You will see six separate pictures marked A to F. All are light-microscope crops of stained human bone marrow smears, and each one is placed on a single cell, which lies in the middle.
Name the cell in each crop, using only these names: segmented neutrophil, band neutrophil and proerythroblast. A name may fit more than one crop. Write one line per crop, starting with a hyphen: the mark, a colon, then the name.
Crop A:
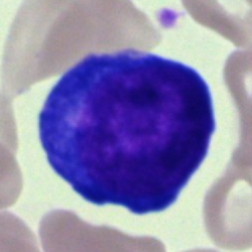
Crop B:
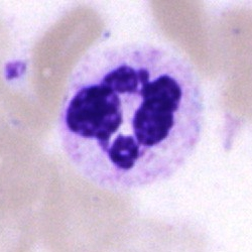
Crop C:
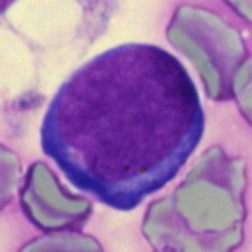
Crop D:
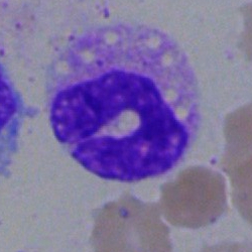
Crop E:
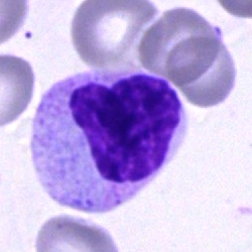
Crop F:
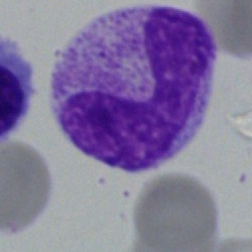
- A: proerythroblast
- B: segmented neutrophil
- C: proerythroblast
- D: band neutrophil
- E: band neutrophil
- F: band neutrophil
